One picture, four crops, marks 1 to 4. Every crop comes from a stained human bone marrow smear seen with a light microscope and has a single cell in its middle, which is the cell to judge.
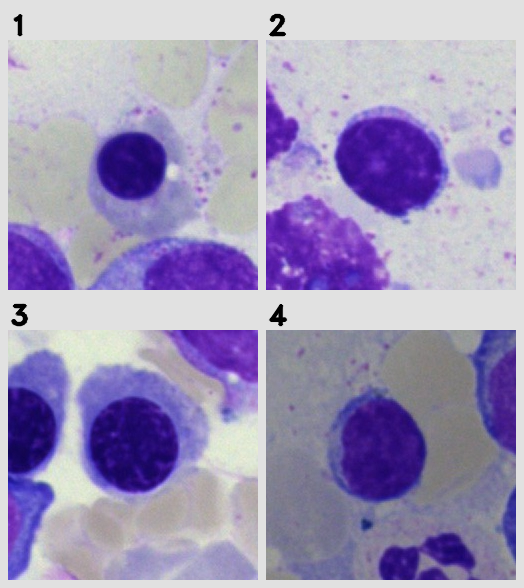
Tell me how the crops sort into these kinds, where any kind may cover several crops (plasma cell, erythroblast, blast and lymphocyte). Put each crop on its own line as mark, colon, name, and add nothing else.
1: erythroblast
2: lymphocyte
3: erythroblast
4: lymphocyte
